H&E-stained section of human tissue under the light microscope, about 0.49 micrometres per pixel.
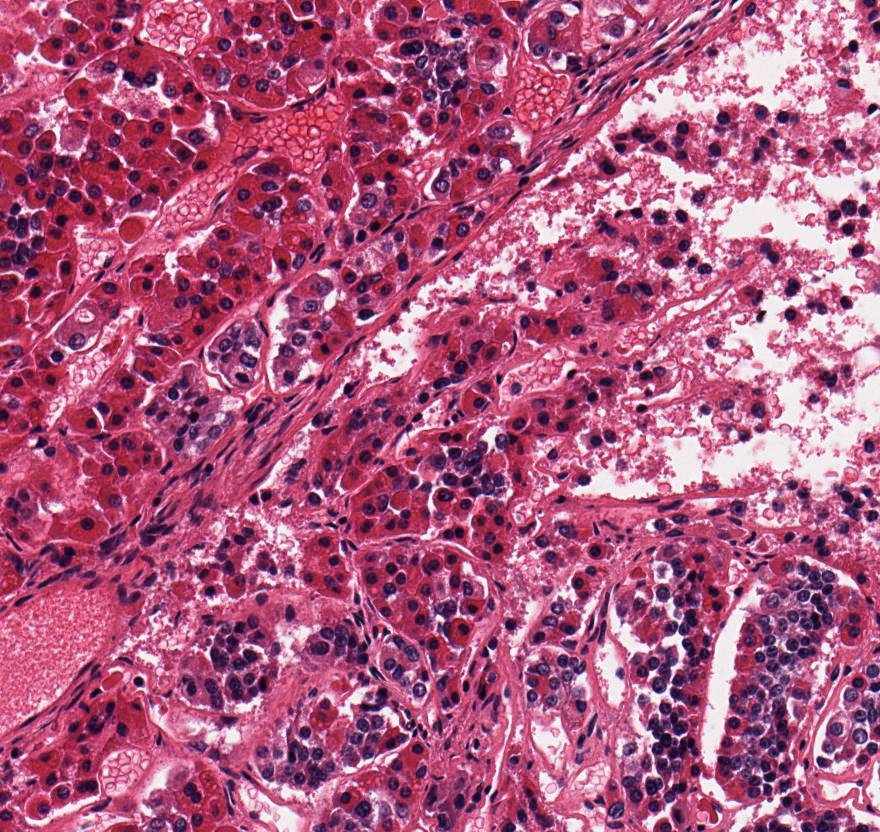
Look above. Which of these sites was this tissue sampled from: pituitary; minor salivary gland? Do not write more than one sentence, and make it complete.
The sample of tissue came from the pituitary.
